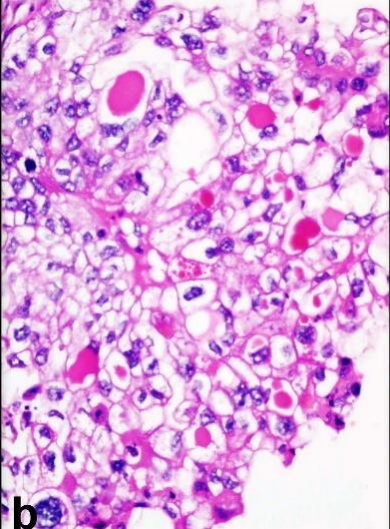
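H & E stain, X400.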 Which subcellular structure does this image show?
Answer: eosinophilic hyaline bodies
